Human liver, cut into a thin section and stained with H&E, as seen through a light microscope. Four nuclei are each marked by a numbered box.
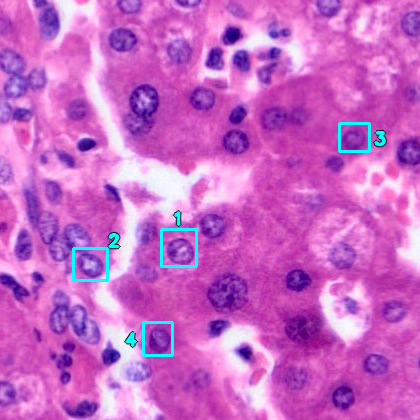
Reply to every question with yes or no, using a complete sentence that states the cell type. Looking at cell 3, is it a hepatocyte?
Yes, the cell corresponding to number 3 is a hepatocyte.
